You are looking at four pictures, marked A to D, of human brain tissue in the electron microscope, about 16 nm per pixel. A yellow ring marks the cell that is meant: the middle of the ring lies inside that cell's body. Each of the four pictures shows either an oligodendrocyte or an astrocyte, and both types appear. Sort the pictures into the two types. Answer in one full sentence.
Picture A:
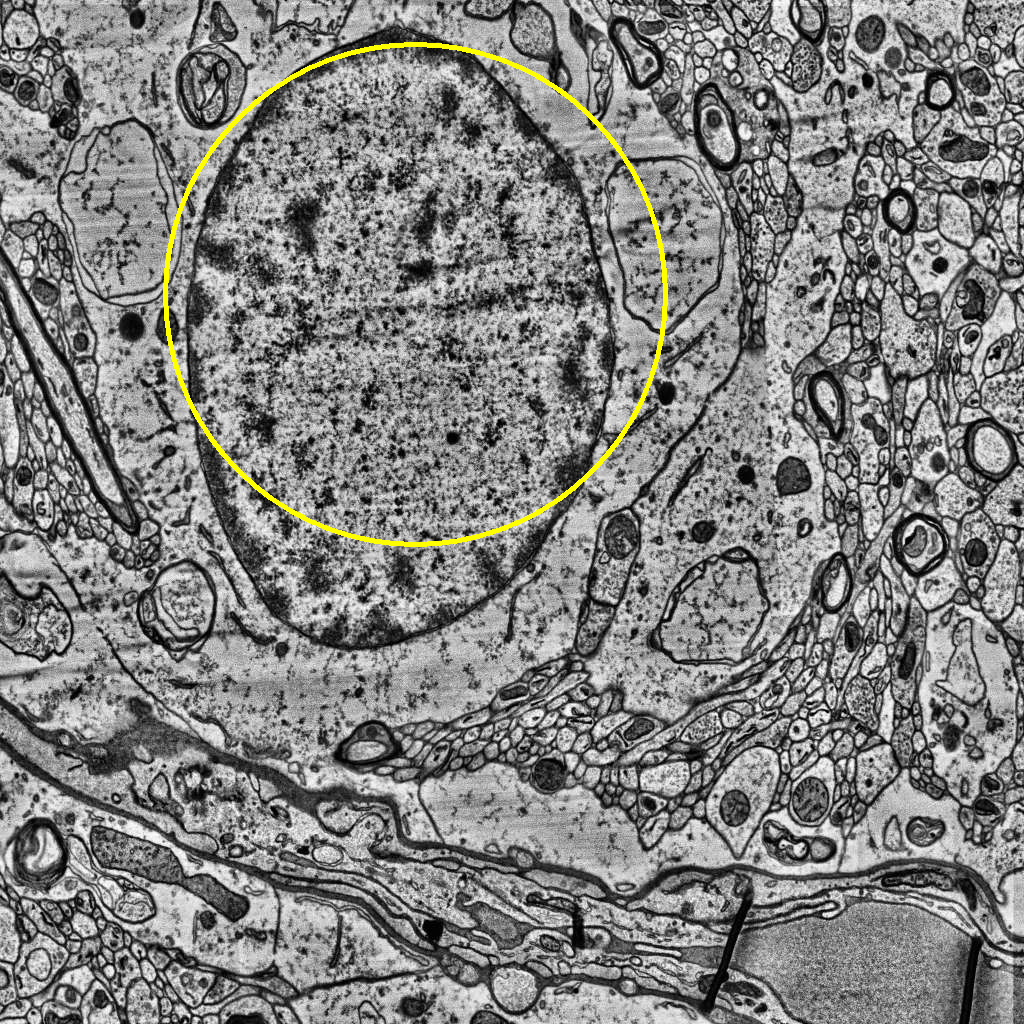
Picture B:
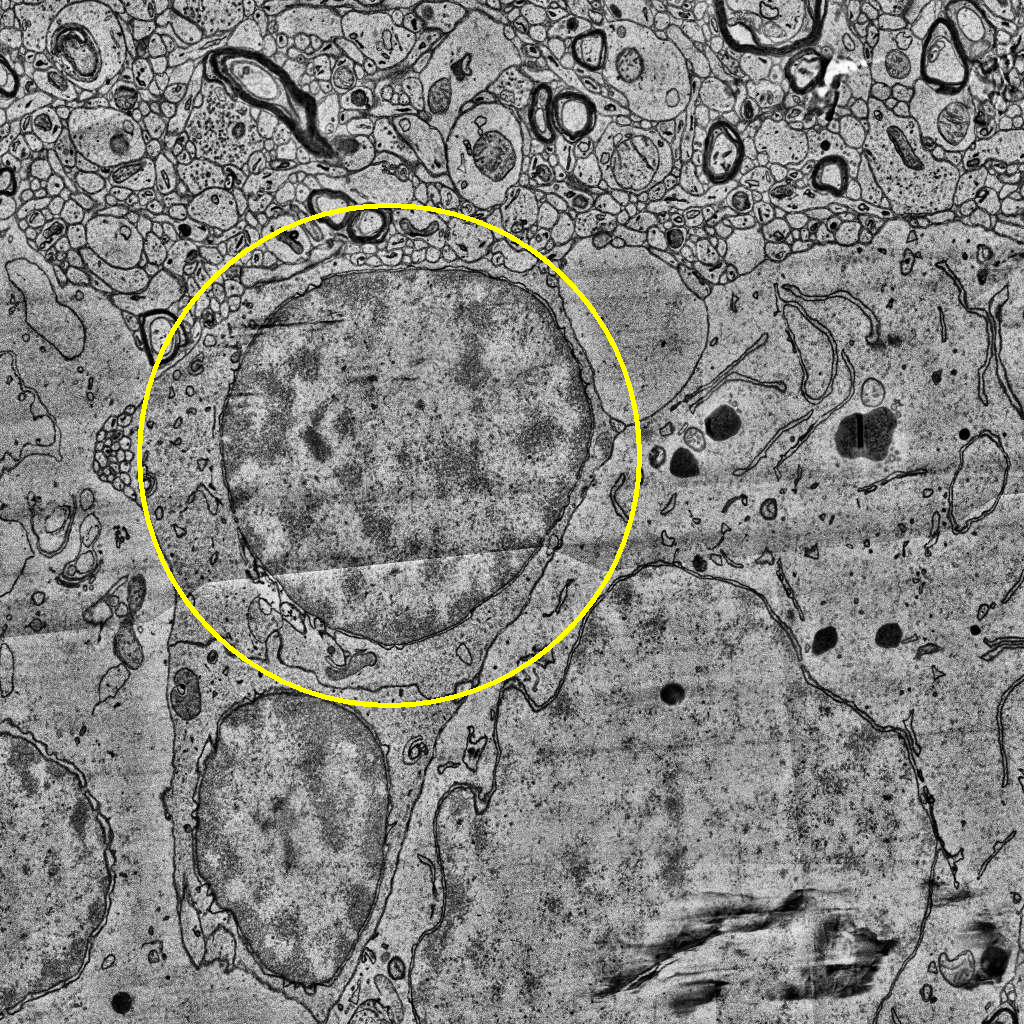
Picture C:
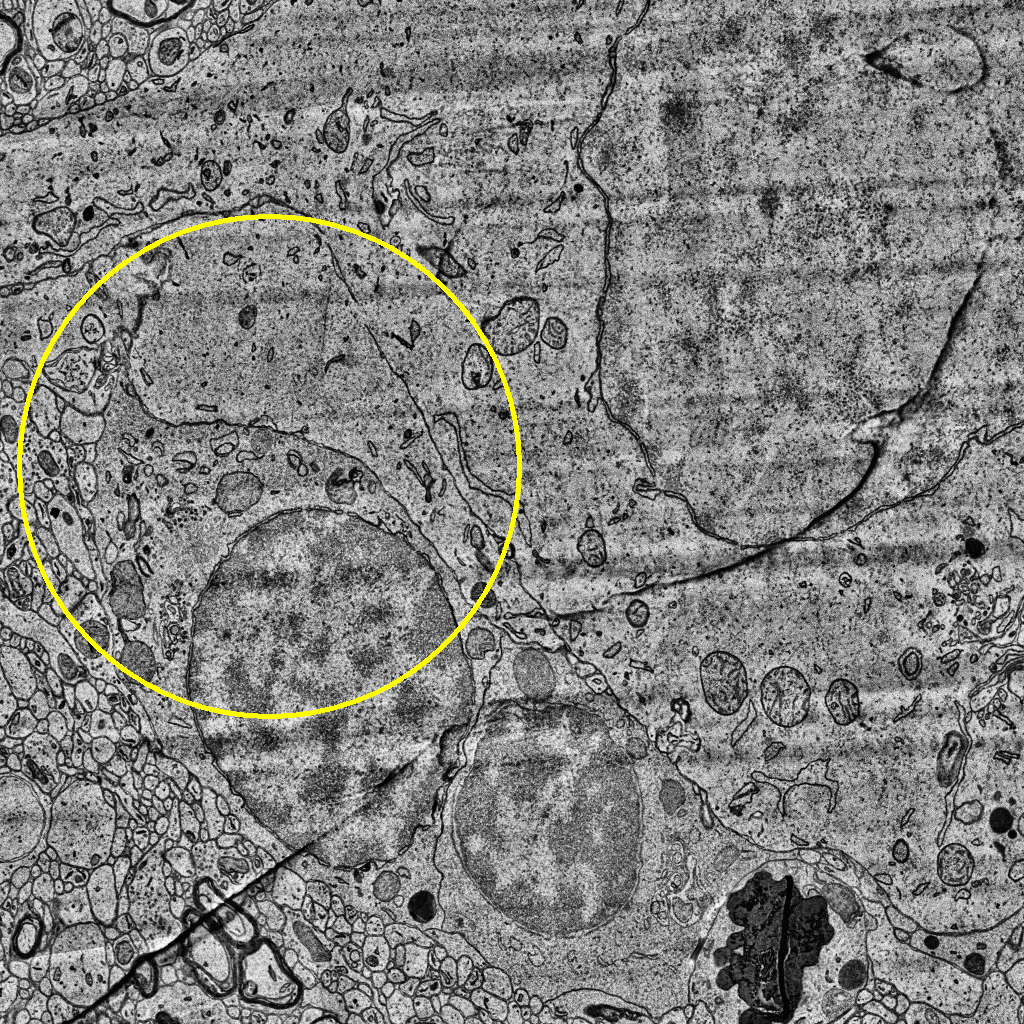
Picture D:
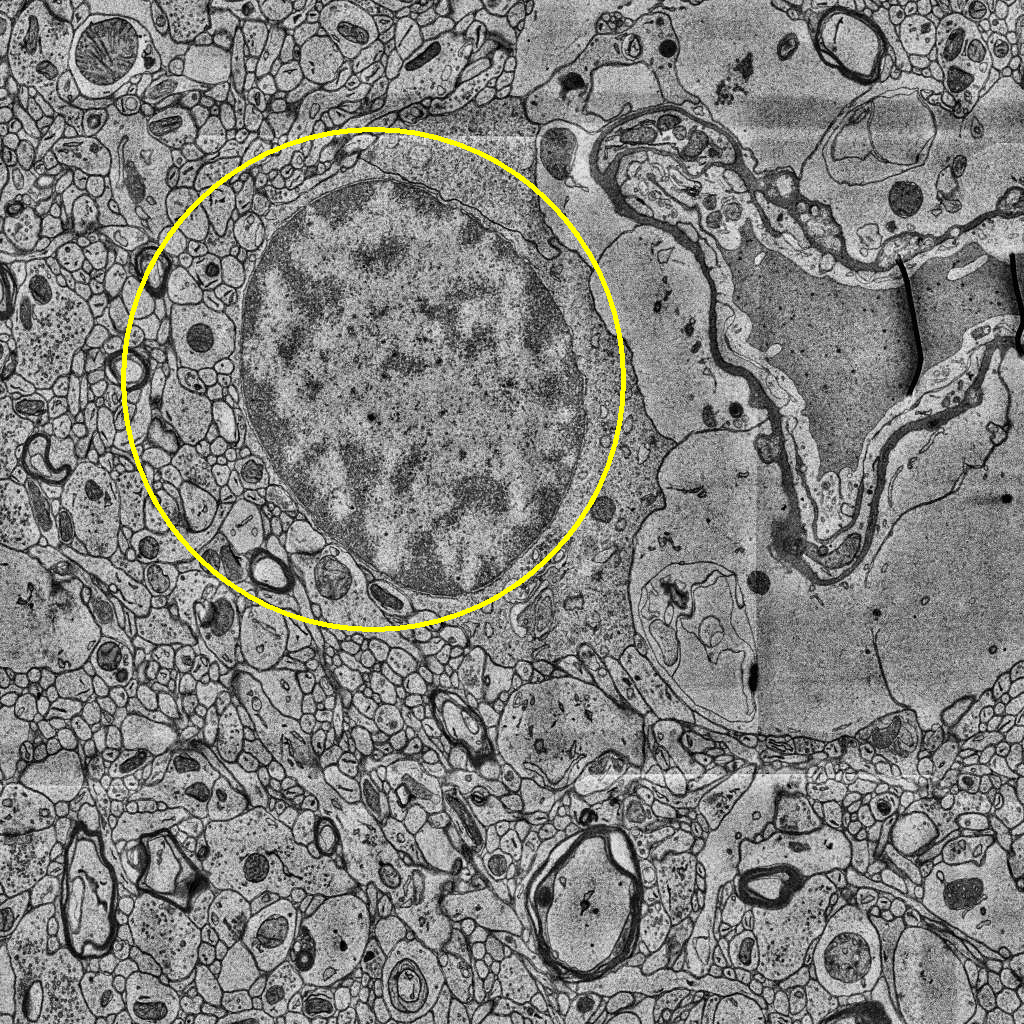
Pictures B, C and D show oligodendrocytes, and picture A shows an astrocyte.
